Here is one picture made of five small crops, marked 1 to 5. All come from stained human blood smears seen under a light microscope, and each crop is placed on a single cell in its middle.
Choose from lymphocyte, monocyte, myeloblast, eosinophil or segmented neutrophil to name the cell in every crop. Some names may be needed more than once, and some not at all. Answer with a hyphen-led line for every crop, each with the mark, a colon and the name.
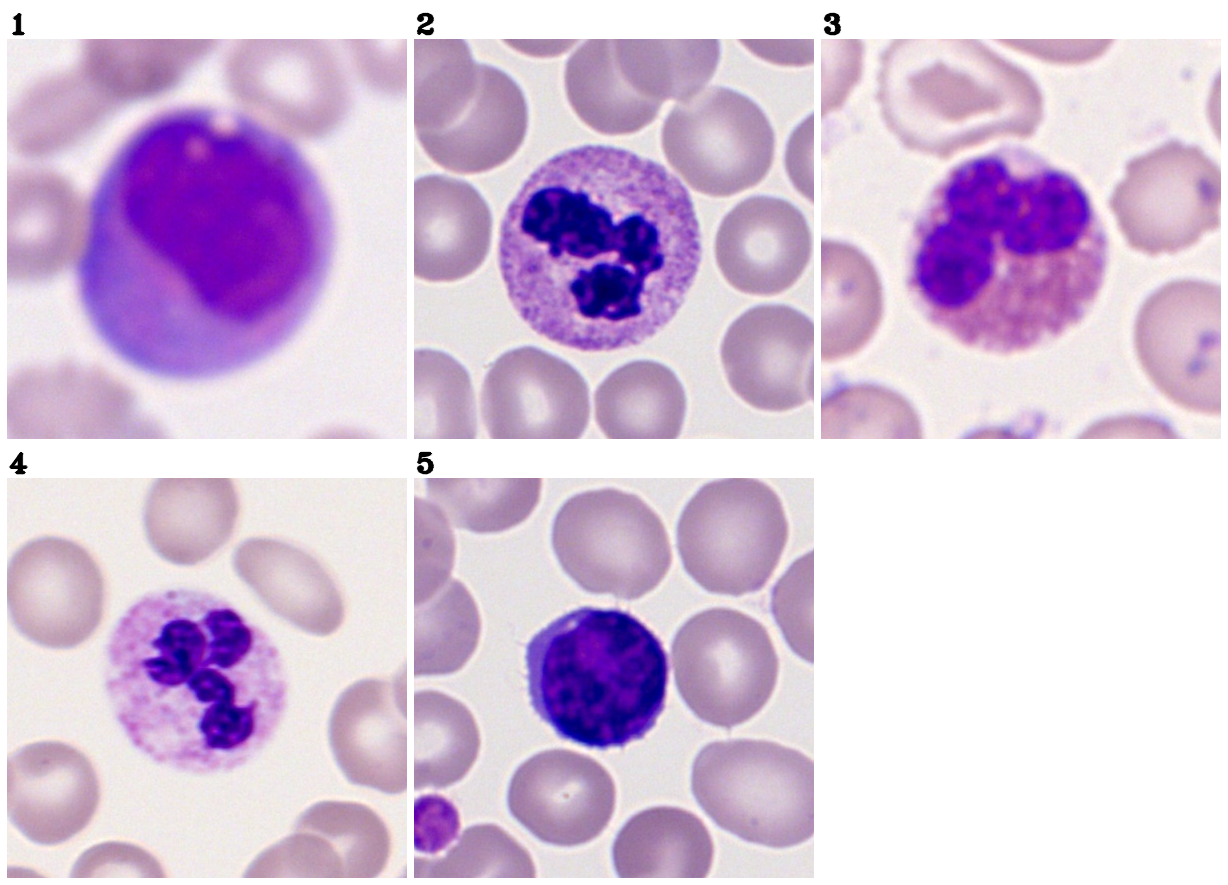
- 1: myeloblast
- 2: segmented neutrophil
- 3: eosinophil
- 4: segmented neutrophil
- 5: lymphocyte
